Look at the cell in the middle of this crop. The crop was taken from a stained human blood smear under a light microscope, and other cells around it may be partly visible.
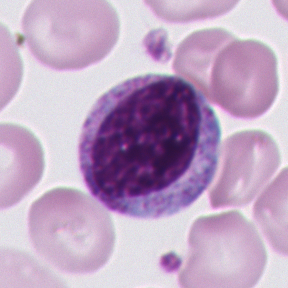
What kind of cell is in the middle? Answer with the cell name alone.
myelocyte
